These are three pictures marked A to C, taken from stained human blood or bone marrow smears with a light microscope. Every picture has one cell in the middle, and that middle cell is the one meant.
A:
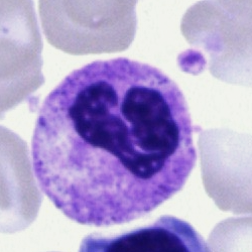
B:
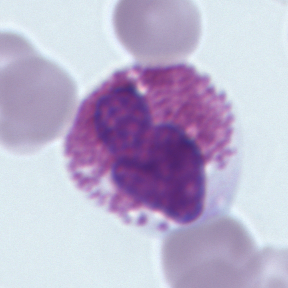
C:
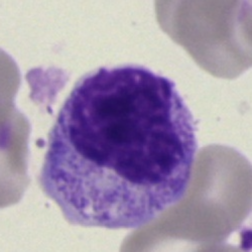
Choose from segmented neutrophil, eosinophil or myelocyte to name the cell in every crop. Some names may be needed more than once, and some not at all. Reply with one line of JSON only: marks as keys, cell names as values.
{"A": "segmented neutrophil", "B": "eosinophil", "C": "myelocyte"}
